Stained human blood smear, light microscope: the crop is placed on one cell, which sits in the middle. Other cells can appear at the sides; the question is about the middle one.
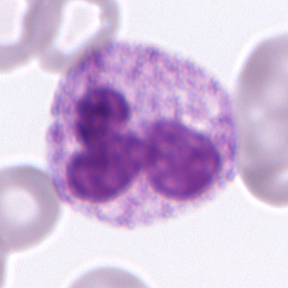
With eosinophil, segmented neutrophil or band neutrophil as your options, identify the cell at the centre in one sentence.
The cell under consideration, at the middle of the crop, is a segmented neutrophil.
